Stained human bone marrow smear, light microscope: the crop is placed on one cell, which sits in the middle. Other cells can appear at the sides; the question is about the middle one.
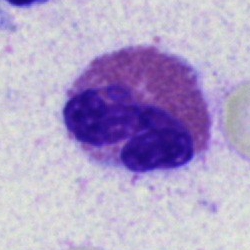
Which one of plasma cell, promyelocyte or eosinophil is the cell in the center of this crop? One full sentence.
For this crop, the central cell is an eosinophil.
